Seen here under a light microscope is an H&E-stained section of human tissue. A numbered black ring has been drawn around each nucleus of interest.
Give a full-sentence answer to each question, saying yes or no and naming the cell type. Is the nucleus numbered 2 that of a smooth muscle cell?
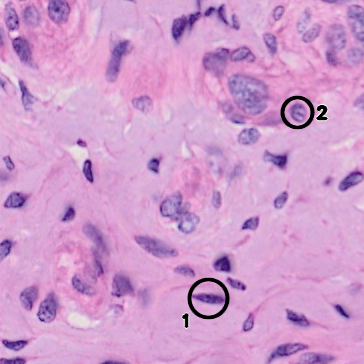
Yes, the cell indicated by number 2 is a smooth muscle cell.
